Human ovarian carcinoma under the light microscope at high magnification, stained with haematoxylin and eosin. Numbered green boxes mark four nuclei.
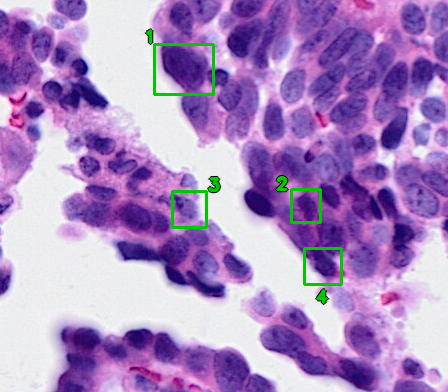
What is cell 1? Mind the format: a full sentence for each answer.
The correct label for cell 1 is a carcinoma cell.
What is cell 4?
In this section, the cell tagged 4 is a carcinoma cell.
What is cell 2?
As for number 2, that cell is a carcinoma cell.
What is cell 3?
The correct answer for cell 3 is a macrophage or monocyte.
